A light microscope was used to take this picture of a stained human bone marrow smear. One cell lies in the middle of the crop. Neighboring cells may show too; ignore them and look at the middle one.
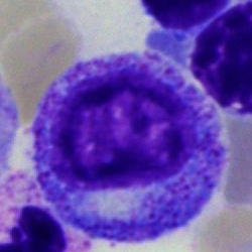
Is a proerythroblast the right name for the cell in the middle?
no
